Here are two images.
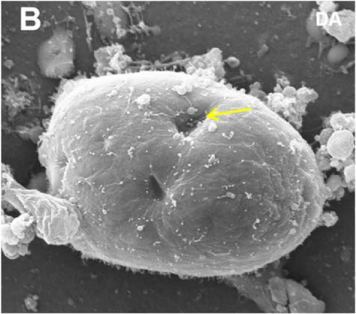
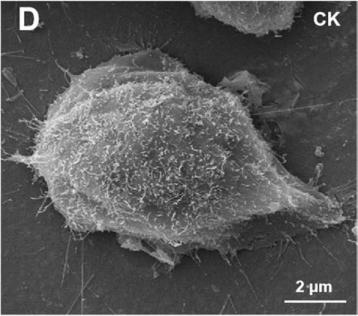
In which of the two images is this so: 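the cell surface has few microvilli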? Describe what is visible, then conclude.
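Second image: the cell surface is densely covered with short projections and fine filaments. First image: the cell surface is largely smooth with only scattered small projections. The answer: the first image.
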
